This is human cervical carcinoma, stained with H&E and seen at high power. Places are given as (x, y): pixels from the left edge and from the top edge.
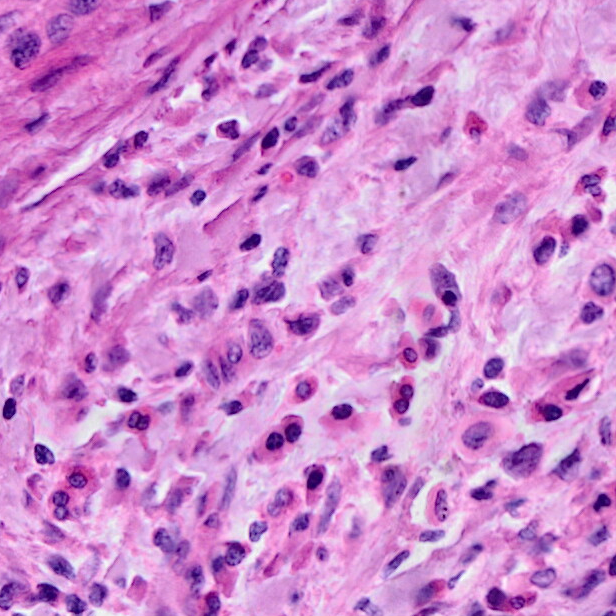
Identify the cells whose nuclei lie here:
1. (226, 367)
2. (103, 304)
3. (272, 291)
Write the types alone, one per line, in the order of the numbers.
endothelial cell
fibroblast
macrophage or monocyte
